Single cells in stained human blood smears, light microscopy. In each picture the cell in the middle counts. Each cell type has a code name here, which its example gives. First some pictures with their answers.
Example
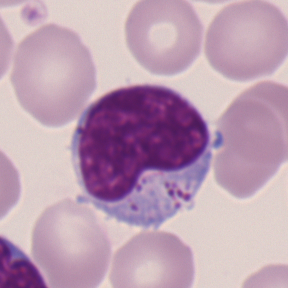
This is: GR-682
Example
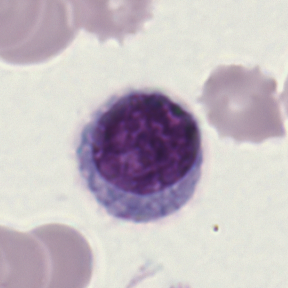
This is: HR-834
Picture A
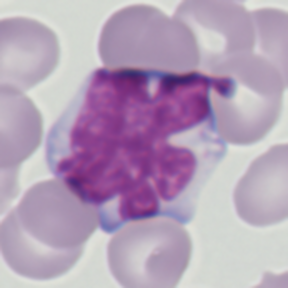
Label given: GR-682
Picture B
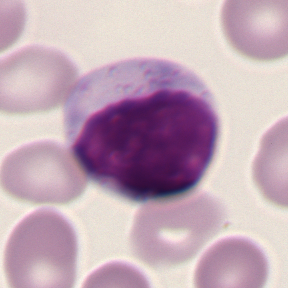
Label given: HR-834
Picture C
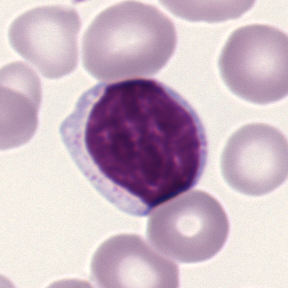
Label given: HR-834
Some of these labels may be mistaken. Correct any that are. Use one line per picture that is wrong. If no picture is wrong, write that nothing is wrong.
B should be GR-682, not HR-834
C should be GR-682, not HR-834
